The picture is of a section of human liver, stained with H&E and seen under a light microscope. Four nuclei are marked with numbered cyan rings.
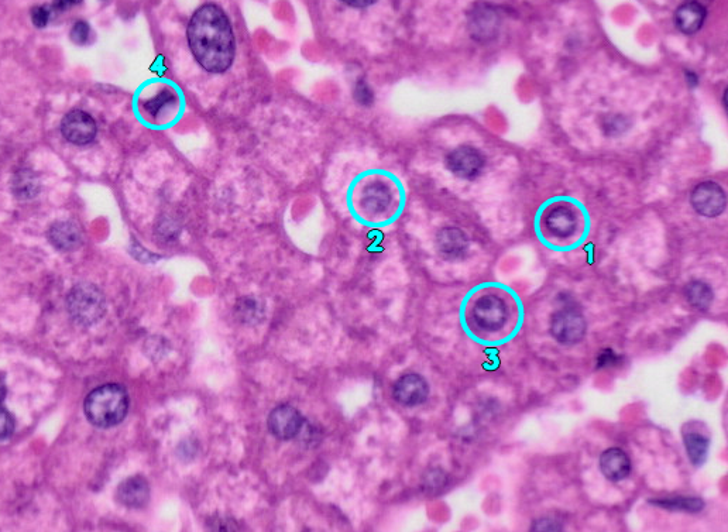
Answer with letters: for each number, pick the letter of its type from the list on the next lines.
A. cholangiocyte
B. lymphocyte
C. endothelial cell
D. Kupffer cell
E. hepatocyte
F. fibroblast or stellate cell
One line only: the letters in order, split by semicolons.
E; E; E; C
